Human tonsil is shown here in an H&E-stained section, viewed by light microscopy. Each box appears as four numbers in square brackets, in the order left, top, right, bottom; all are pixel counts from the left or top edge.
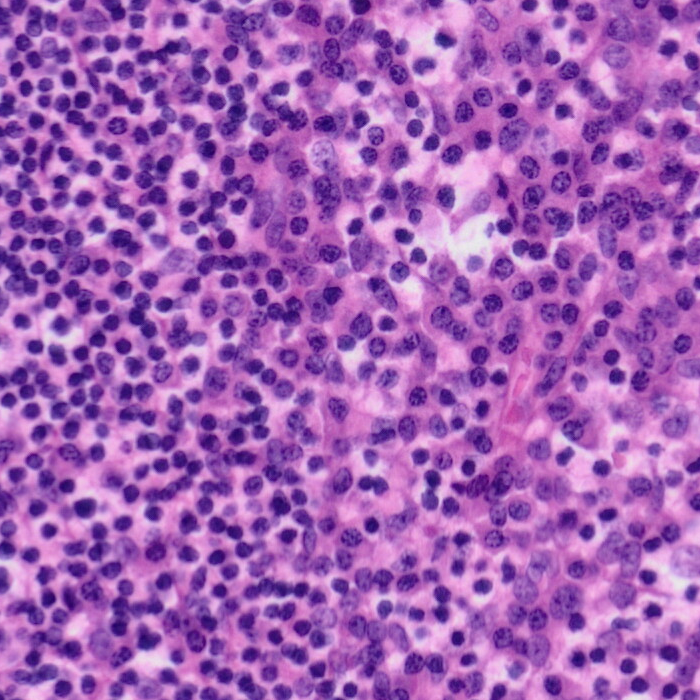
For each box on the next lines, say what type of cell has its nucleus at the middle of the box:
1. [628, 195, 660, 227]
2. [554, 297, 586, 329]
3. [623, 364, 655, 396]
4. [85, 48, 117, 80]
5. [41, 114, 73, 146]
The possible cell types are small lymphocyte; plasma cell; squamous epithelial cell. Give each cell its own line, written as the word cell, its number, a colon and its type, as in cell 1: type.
cell 1: plasma cell
cell 2: plasma cell
cell 3: plasma cell
cell 4: small lymphocyte
cell 5: small lymphocyte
